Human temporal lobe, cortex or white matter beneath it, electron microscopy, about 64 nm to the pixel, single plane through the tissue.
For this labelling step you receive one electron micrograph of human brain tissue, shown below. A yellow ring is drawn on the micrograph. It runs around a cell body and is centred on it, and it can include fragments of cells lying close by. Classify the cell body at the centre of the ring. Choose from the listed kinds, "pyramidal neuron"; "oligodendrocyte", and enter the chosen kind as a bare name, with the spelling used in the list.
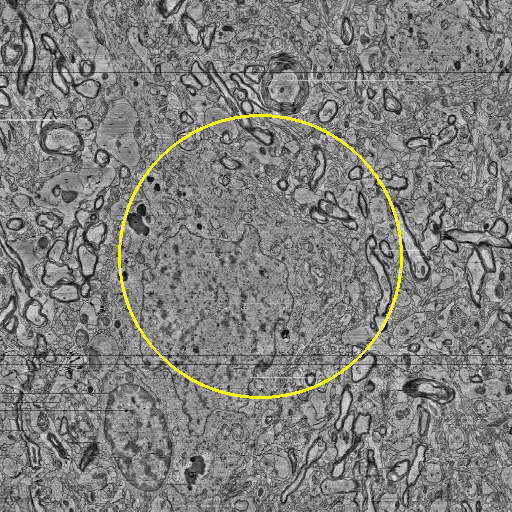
pyramidal neuron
